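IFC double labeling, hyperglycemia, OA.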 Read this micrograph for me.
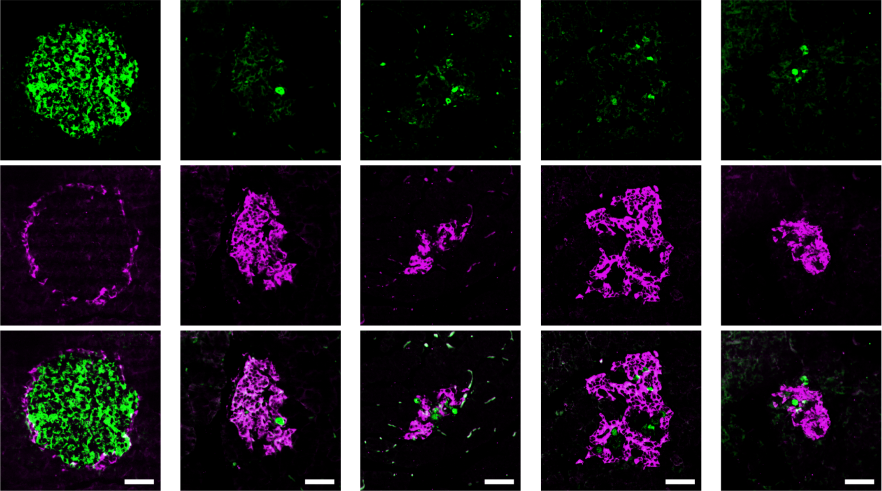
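A grid of fluorescence images of pancreatic islets shows endocrine cell clusters in three rows: green cells, magenta cells, and both merged. In the first column a large round islet has a core densely packed with green cells in a granular, reticulated pattern, while magenta cells form only a thin, broken ring at its edge. In the other four columns the green label is almost gone, leaving scattered small bright green dots. Magenta cells instead fill irregular, smaller clusters that lack the round outline and the peripheral ring seen in the first islet, so magenta cells dominate the islet interior.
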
